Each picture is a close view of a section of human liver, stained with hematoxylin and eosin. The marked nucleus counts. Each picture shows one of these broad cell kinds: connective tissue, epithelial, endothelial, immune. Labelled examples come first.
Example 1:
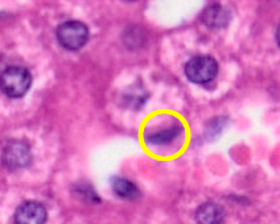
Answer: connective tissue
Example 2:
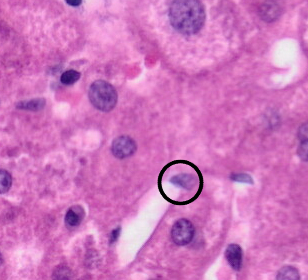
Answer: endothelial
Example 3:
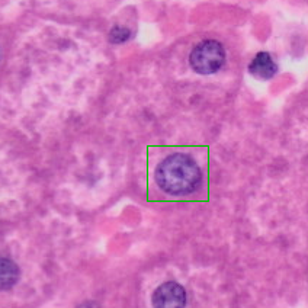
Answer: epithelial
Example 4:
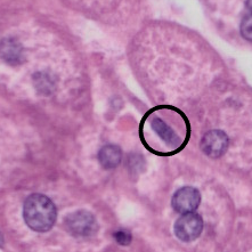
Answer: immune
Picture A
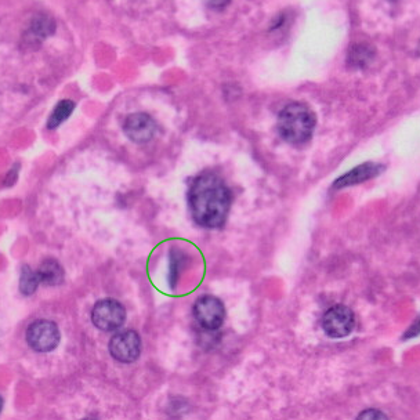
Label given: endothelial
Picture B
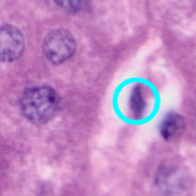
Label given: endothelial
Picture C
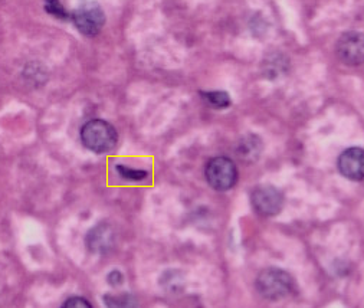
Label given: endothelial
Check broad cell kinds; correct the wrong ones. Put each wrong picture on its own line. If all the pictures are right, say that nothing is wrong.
B: change endothelial to immune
